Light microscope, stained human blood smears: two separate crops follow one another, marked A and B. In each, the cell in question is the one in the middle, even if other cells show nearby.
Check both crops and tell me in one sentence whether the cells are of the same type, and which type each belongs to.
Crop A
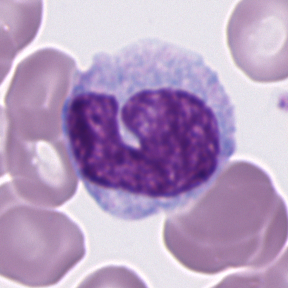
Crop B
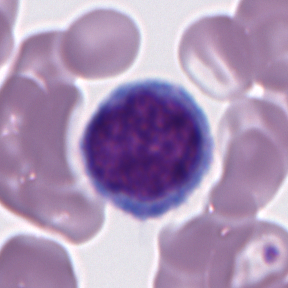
Yes, in short, both crops show monocytes.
